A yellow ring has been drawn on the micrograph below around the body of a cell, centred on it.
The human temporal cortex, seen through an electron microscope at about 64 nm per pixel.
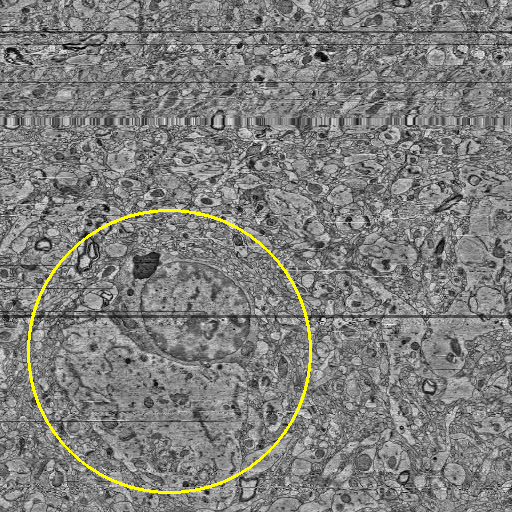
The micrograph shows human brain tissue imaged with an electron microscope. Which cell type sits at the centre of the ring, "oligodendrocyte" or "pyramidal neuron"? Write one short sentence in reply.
The cell sitting at the centre of the ring is an oligodendrocyte.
